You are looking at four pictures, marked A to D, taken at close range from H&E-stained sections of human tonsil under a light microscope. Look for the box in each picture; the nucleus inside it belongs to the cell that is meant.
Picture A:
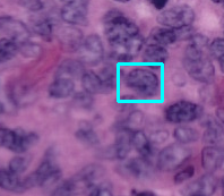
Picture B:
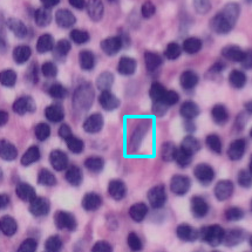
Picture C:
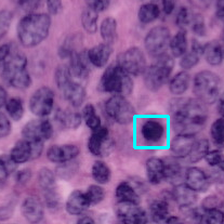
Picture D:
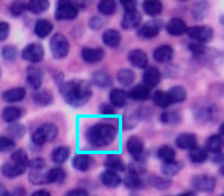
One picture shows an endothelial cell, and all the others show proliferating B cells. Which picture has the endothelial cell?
B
